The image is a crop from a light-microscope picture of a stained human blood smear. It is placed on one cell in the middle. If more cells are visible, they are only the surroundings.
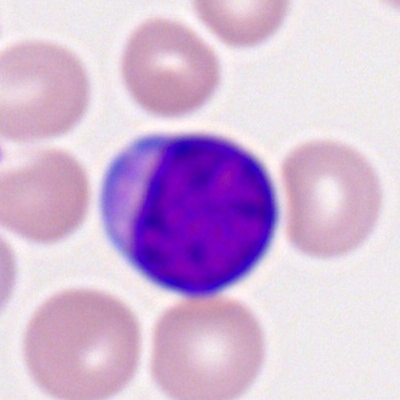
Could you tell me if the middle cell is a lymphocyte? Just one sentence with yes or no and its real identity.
No, the cell in the middle is recognised as a blast rather than a lymphocyte.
